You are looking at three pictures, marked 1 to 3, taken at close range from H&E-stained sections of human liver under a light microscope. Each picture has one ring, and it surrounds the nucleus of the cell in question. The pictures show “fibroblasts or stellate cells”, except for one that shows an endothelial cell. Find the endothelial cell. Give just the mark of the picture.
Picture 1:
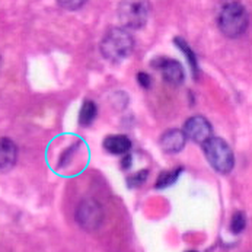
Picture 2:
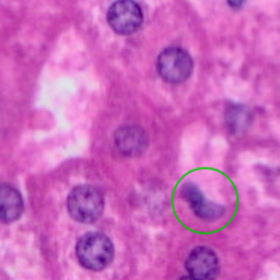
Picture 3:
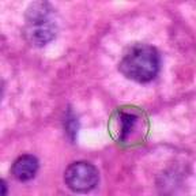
2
